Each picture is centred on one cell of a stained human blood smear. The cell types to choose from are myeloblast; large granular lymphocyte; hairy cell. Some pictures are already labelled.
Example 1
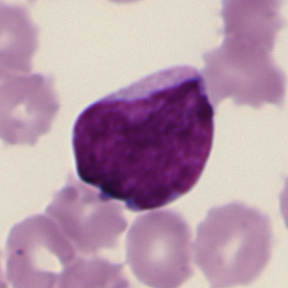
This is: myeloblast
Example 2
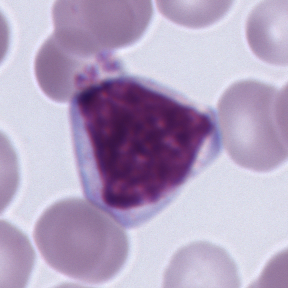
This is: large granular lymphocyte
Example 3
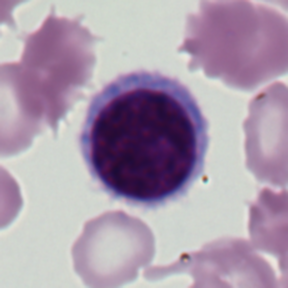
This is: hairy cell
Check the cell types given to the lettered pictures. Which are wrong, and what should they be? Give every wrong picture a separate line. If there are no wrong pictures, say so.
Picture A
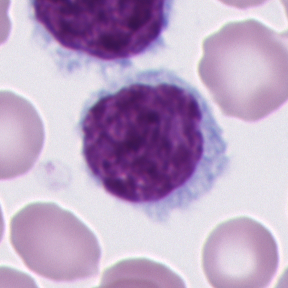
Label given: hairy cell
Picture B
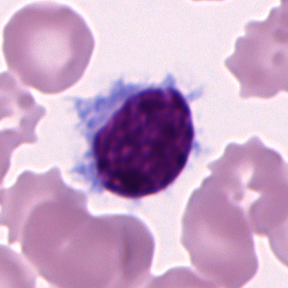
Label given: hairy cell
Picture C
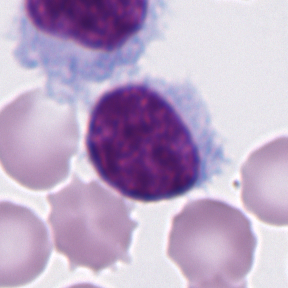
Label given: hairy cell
Every label is right.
